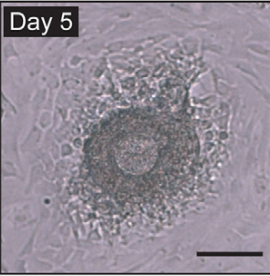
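An ovarian follicle is seen in culture, with a round central oocyte enclosed by a dense, dark mass of surrounding follicle cells. The inner cells are packed in several layers around the oocyte. Toward the periphery, cells spread out flat onto the dish, forming a ragged halo of loosely arranged, irregular cells. Beyond them, spindle-shaped flattened cells cover the background.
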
